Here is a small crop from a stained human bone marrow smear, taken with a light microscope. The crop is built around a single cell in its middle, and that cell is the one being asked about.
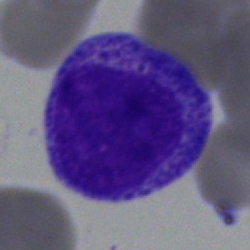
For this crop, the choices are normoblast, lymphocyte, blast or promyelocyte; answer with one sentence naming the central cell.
Present in the middle of the crop is a promyelocyte.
